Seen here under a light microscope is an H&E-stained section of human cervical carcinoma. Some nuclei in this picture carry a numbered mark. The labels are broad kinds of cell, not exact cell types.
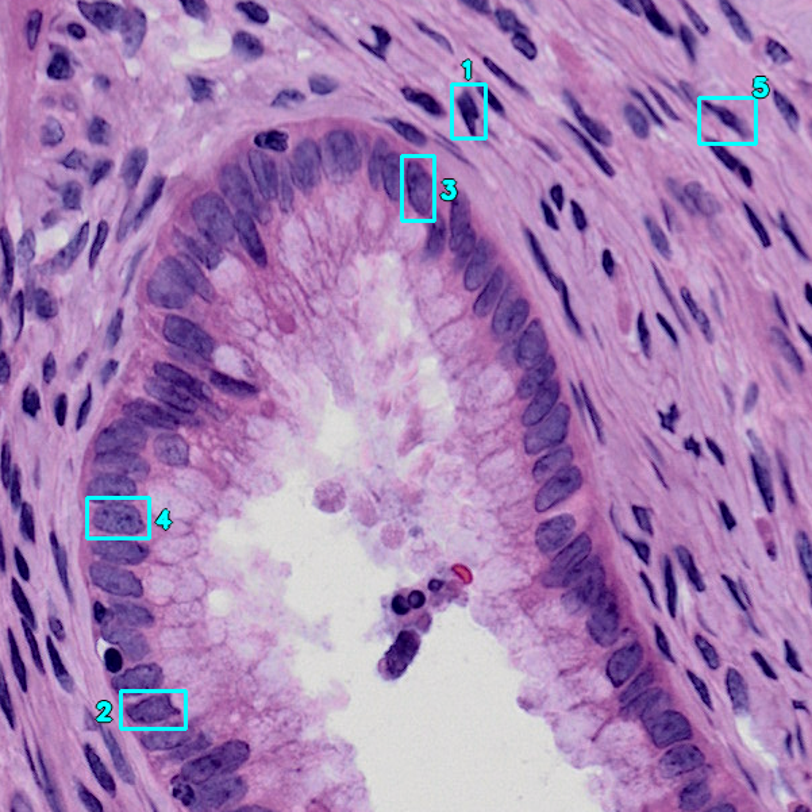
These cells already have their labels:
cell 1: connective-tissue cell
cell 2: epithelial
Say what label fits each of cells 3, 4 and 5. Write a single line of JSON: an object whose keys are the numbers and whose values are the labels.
{"3": "epithelial", "4": "epithelial", "5": "connective-tissue cell"}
